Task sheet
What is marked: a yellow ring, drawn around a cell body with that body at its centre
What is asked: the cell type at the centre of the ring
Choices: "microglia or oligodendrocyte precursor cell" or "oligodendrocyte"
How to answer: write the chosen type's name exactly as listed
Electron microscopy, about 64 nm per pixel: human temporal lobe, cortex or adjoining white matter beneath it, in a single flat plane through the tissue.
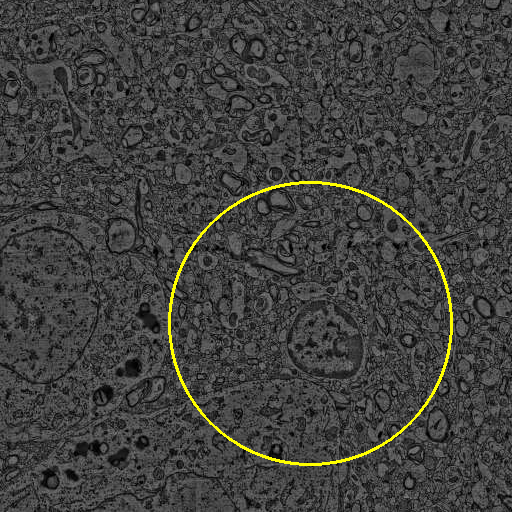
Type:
microglia or oligodendrocyte precursor cell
